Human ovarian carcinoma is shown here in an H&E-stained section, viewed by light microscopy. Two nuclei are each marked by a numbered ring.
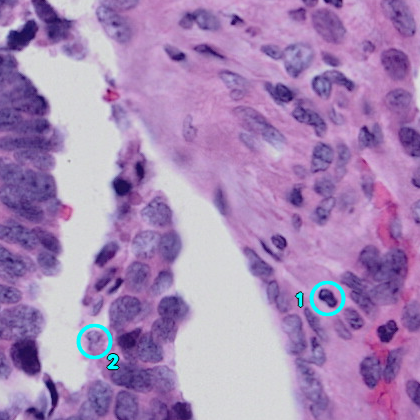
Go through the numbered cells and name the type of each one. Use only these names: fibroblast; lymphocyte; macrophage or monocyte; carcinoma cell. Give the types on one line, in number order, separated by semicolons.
lymphocyte; macrophage or monocyte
